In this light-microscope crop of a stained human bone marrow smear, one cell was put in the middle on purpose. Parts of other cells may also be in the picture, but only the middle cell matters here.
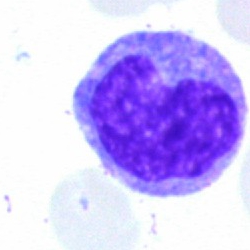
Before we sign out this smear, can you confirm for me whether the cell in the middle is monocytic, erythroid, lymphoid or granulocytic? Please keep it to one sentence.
It is the monocytic lineage to which the central cell belongs.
